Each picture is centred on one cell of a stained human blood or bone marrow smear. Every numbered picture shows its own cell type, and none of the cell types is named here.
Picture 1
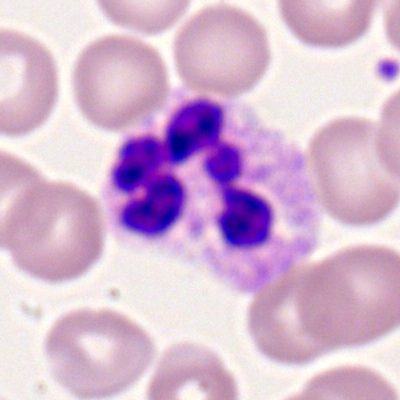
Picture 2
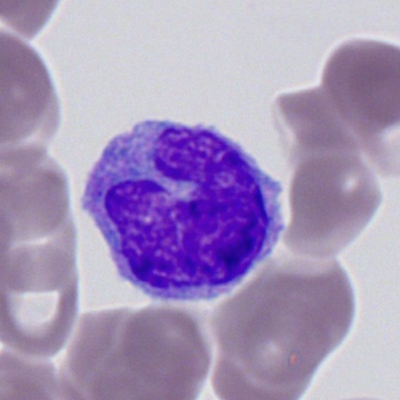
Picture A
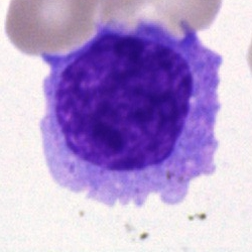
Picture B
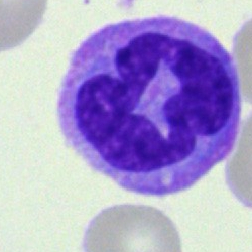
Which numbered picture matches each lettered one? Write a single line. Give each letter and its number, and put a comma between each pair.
A 2, B 2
